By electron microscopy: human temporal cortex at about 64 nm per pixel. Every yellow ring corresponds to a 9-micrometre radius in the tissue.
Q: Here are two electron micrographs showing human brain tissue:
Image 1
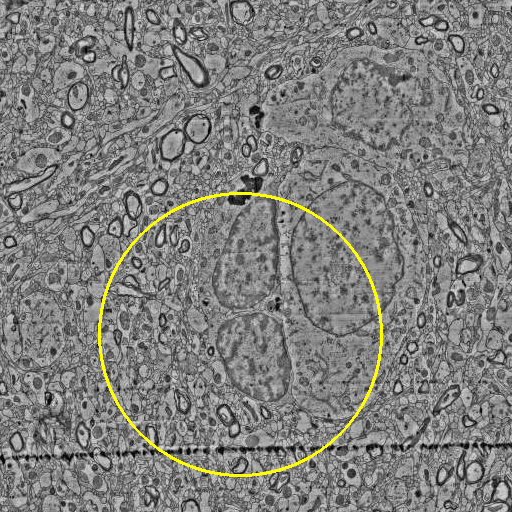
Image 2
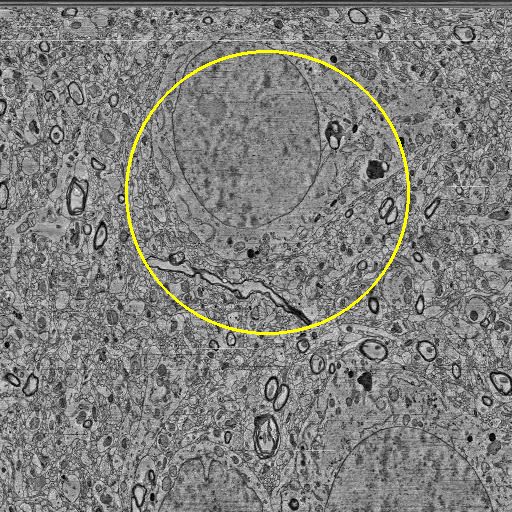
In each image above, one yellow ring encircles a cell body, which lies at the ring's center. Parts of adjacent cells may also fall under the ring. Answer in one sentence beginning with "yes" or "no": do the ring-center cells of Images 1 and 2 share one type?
No, in Images 1 and 2, the ring-center cells are of two types.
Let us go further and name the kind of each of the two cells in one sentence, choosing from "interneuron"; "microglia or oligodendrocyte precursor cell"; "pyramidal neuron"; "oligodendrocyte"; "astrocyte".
The ring of the first picture is on an oligodendrocyte, the ring of the second on a pyramidal neuron.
